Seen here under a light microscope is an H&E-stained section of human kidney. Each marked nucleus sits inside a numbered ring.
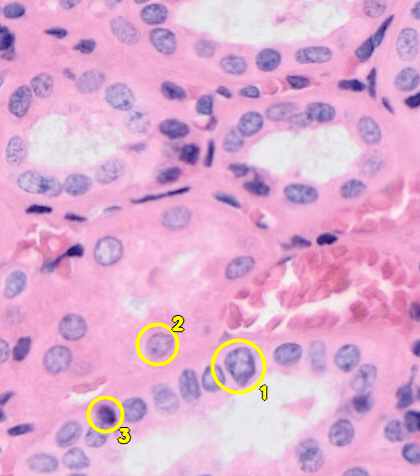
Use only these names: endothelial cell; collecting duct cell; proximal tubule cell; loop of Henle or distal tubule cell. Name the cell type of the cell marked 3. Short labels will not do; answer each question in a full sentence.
Identified by the number 3, the cell is a collecting duct cell.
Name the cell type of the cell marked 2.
The cell pointed out by number 2 is a proximal tubule cell.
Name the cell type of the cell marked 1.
The cell identified by number 1 is a collecting duct cell.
